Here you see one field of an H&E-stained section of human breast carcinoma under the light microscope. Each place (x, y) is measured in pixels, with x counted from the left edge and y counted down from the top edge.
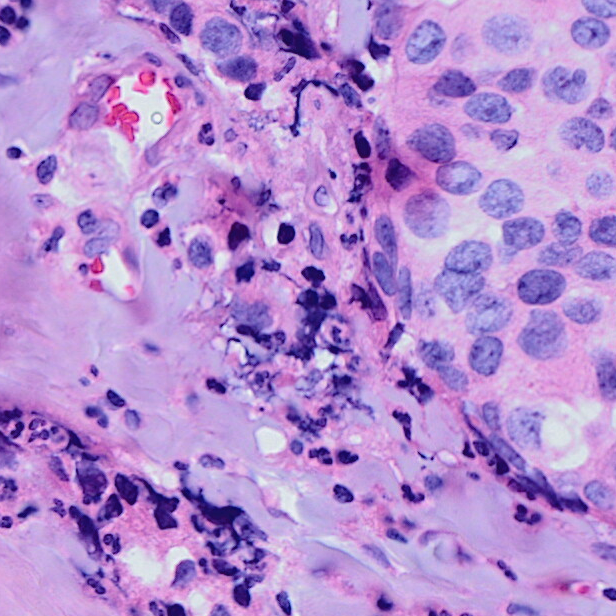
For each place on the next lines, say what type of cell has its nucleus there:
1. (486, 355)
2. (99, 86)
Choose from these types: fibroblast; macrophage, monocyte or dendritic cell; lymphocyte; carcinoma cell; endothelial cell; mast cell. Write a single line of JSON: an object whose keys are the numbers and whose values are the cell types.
{"1": "carcinoma cell", "2": "endothelial cell"}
